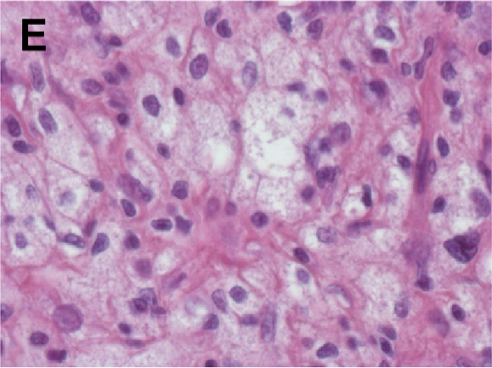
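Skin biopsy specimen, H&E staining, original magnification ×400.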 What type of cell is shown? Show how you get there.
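Large cells with abundant pale, finely vacuolated foamy cytoplasm. Round to oval nuclei in these large cells. Pink fibrous strands run between the cells. The answer: vacuolated histiocytes.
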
